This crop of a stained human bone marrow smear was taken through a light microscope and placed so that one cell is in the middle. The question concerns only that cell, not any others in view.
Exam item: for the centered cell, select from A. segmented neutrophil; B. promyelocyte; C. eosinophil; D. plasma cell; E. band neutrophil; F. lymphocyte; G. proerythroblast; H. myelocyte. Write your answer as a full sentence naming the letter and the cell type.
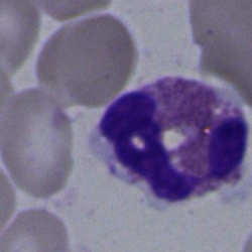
Option C holds, for the cell in the middle is an eosinophil.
